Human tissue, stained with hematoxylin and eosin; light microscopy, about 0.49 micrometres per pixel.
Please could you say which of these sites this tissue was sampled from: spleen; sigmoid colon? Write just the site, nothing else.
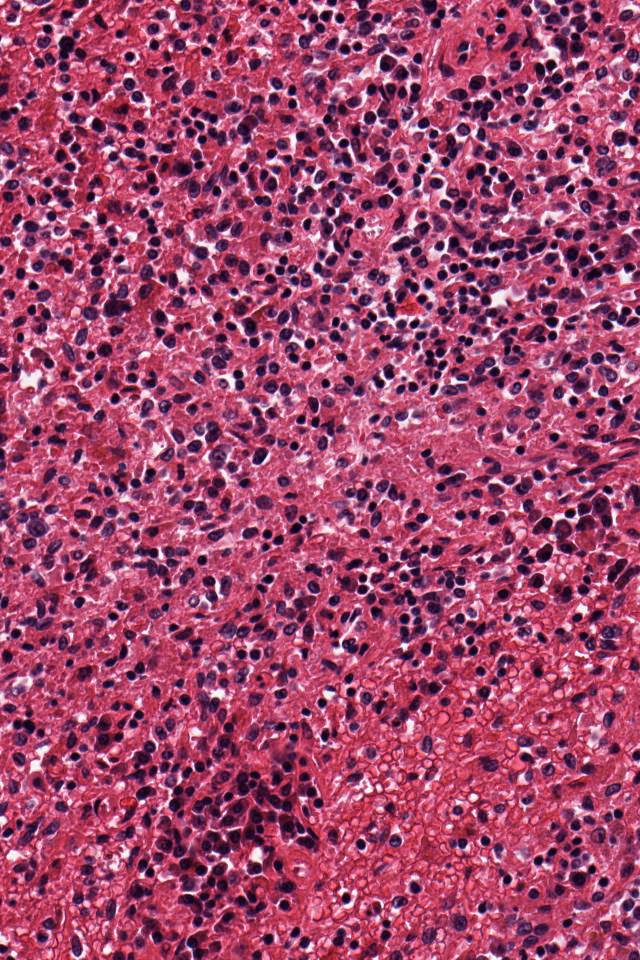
spleen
